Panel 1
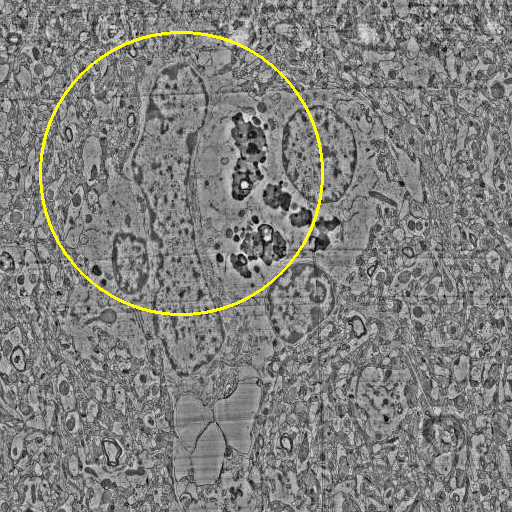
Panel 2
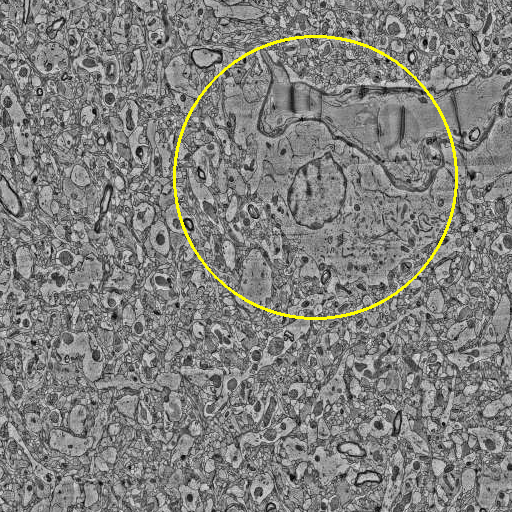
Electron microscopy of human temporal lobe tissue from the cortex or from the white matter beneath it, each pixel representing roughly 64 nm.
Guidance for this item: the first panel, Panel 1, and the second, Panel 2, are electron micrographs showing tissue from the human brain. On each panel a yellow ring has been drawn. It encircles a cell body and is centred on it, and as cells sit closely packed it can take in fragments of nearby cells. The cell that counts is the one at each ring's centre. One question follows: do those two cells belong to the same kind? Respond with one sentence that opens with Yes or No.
Yes, the cells at the ring centres in Panel 1 and Panel 2 are of one kind.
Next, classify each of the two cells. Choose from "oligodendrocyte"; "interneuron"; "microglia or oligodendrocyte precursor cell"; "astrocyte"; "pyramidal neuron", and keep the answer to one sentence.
Each of the two cells is a microglial cell or oligodendrocyte precursor cell.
